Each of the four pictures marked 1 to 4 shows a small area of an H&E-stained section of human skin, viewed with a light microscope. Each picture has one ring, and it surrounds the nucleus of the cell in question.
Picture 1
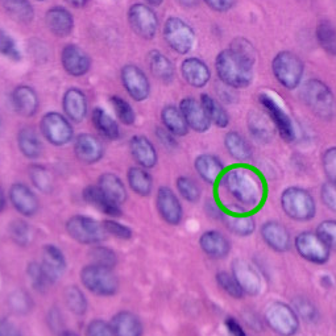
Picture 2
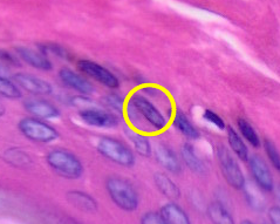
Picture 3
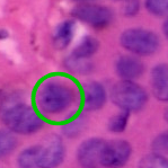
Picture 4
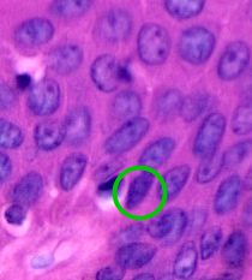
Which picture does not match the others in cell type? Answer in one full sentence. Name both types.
Unlike the rest, which show basal keratinocytes, picture 1 shows a suprabasal keratinocyte.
